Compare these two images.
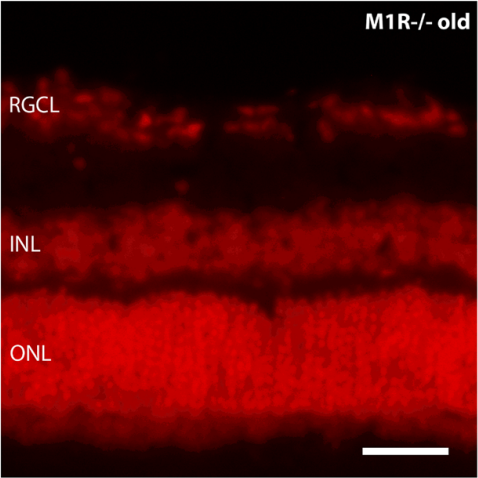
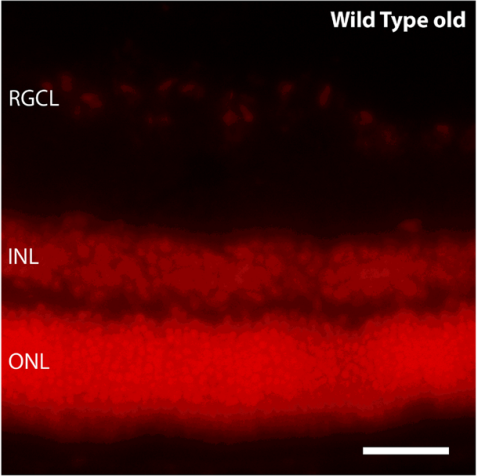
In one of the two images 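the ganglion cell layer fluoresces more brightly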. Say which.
the first image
